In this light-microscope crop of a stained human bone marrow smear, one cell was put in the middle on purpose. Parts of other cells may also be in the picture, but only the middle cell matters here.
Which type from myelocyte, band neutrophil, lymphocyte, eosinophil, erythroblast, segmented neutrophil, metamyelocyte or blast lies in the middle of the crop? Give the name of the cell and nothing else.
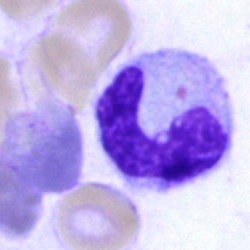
band neutrophil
